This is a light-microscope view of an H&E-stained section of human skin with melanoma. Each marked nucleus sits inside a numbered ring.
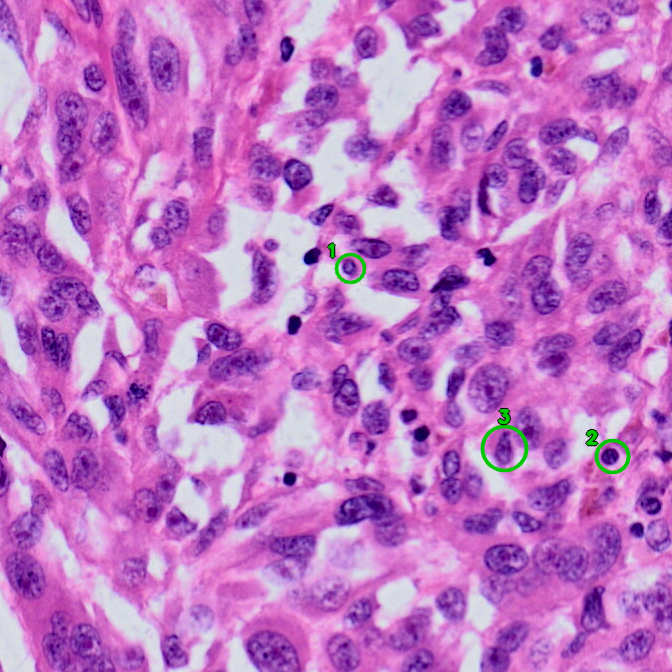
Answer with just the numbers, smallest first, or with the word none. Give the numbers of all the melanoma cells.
3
